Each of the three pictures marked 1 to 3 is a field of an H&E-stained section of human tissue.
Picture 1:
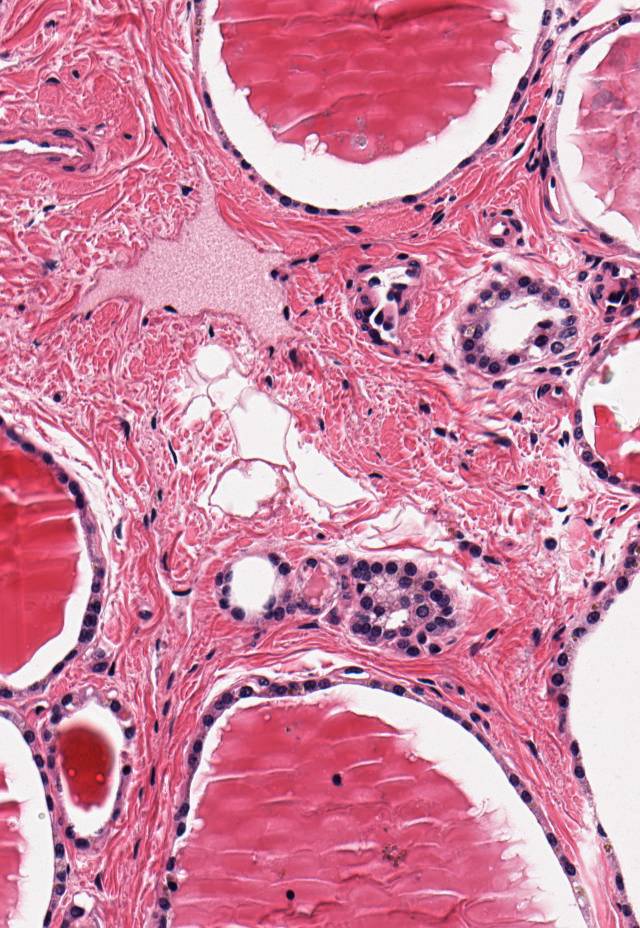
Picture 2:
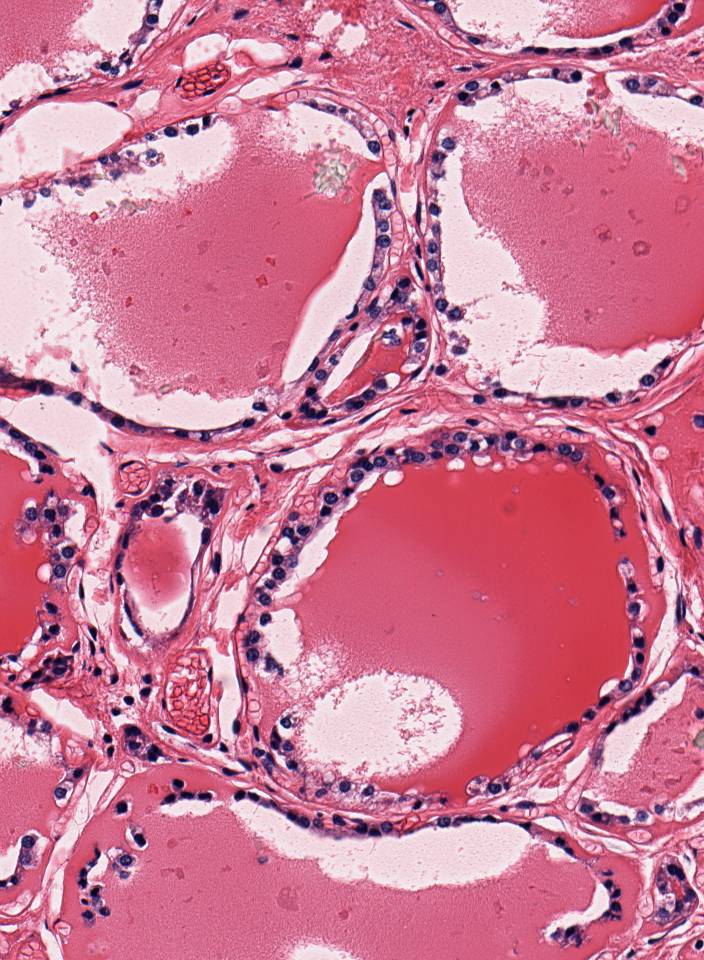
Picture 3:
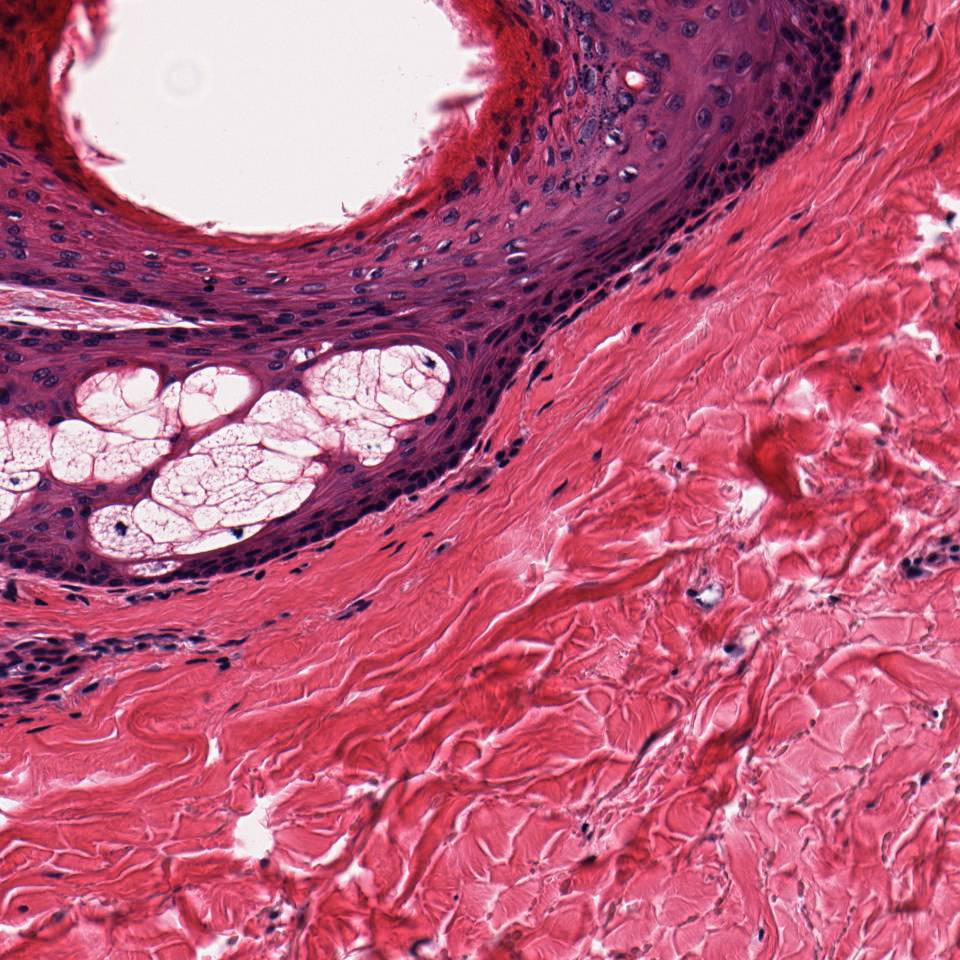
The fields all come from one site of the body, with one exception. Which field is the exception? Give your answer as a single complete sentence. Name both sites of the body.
The others come from the thyroid, but picture 3 comes from the skin of the suprapubic region.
